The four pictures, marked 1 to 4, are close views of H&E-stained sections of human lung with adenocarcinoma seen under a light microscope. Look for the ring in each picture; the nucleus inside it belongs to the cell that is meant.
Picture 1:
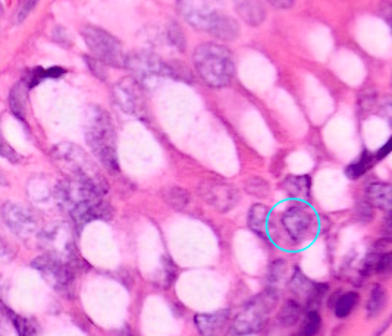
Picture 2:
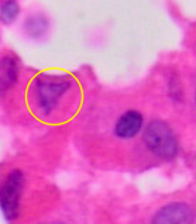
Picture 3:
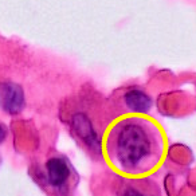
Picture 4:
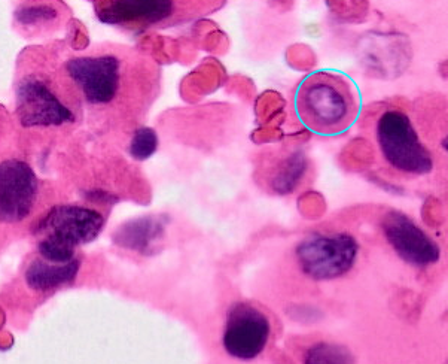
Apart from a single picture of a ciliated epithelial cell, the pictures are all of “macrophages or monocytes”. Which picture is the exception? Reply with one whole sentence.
Picture 1 shows the ciliated epithelial cell.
